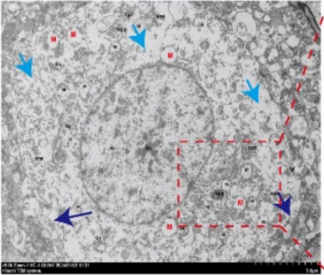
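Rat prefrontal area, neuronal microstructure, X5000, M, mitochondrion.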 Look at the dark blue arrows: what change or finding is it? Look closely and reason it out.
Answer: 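Localized damage to the cell membrane. The arrows point to the edge of the cell body.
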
